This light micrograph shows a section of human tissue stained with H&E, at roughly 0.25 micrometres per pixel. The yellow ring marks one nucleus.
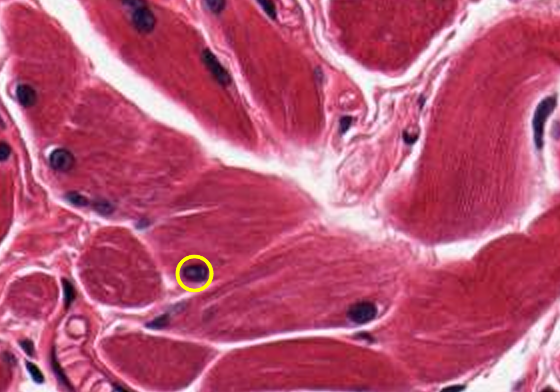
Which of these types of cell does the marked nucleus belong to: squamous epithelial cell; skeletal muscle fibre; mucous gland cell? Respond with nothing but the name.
skeletal muscle fibre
